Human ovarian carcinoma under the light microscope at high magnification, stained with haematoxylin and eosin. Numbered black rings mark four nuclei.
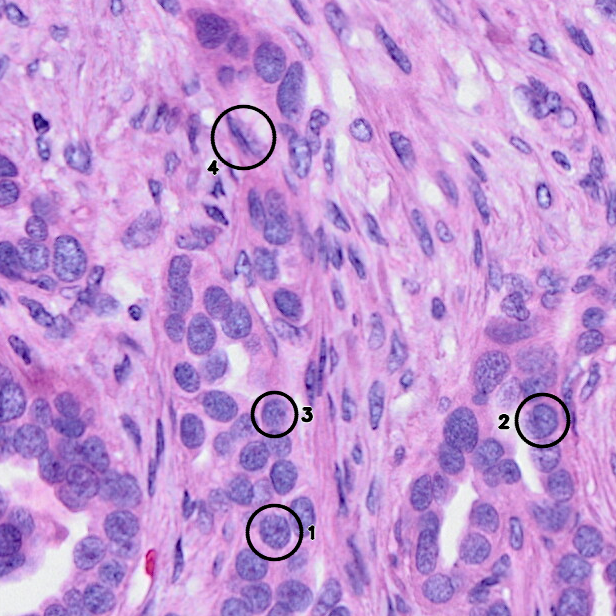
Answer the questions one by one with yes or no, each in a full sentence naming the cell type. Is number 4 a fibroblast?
Yes, looking at number 4, that cell is a fibroblast.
